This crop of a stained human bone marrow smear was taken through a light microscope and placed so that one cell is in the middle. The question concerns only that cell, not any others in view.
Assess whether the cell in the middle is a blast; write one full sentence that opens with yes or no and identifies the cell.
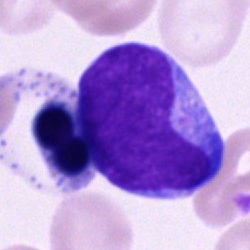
Yes, that middle cell in the crop is a blast.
